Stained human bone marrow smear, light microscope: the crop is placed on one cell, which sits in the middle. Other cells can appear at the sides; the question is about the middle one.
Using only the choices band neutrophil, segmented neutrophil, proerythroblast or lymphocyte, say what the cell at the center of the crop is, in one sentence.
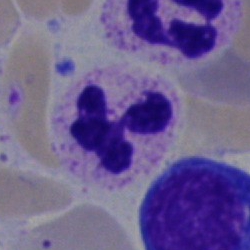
The cell marked by its central position in the crop is a segmented neutrophil.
